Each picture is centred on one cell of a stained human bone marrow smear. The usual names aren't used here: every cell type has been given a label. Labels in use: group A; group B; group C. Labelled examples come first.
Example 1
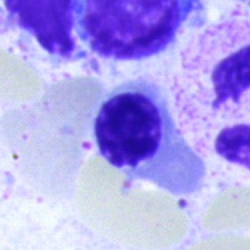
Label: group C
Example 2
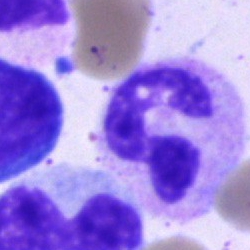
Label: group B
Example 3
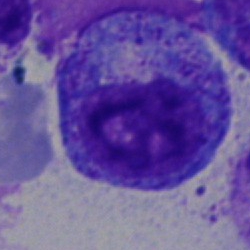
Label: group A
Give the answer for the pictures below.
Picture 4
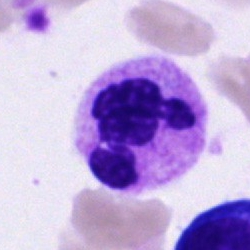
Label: group B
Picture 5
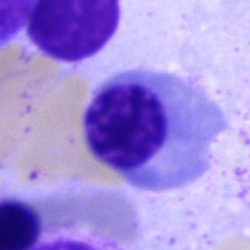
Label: group C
